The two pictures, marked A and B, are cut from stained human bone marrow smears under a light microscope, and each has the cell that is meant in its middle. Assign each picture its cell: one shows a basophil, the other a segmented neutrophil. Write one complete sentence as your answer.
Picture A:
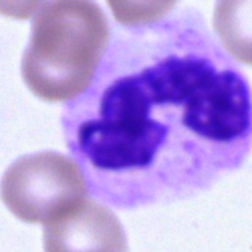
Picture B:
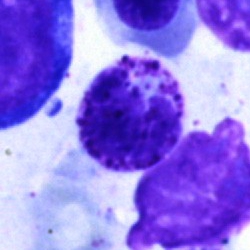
The cell in picture A is a segmented neutrophil, and the one in picture B is a basophil.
